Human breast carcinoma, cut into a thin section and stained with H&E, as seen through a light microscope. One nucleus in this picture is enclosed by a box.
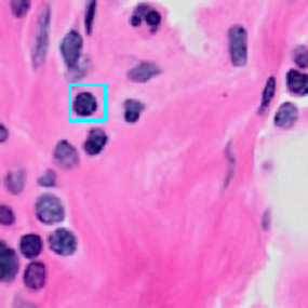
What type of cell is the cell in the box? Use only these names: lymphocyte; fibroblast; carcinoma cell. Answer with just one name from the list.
lymphocyte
